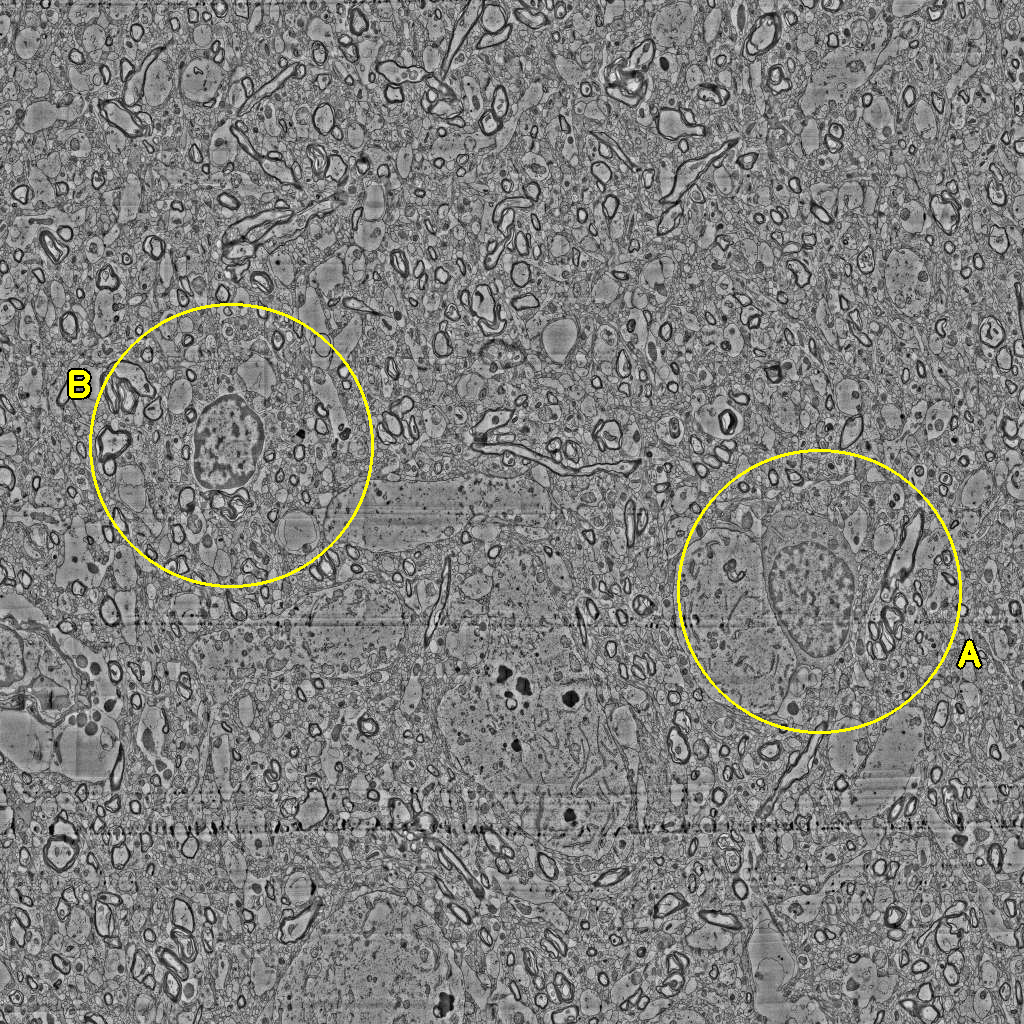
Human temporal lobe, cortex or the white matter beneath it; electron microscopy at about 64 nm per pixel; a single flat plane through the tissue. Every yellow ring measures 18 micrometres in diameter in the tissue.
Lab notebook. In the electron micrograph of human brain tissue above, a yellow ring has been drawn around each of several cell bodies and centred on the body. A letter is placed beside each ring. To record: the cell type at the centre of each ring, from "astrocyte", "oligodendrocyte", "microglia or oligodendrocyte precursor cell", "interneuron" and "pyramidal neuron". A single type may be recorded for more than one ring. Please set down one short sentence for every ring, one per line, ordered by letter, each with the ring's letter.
The centre of ring A is occupied by an oligodendrocyte.
The centre of ring B is occupied by a microglial cell or oligodendrocyte precursor cell.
